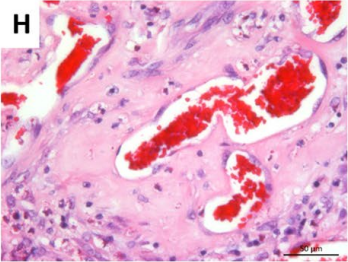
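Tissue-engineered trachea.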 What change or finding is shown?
Vascularization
